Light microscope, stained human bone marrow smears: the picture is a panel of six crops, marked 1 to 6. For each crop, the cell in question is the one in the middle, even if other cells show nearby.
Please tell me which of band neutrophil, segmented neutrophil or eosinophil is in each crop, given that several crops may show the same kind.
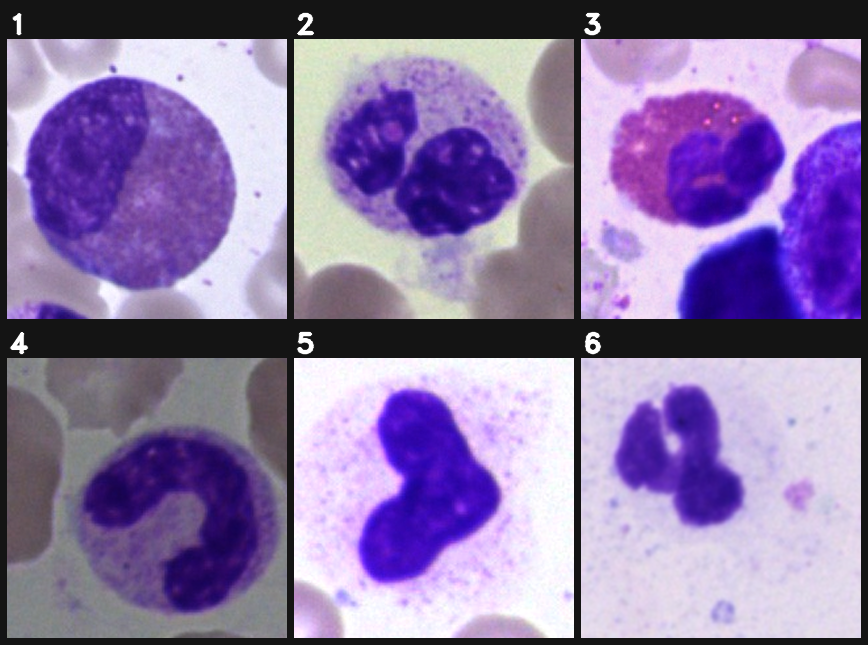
1: eosinophil
2: segmented neutrophil
3: eosinophil
4: band neutrophil
5: band neutrophil
6: segmented neutrophil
